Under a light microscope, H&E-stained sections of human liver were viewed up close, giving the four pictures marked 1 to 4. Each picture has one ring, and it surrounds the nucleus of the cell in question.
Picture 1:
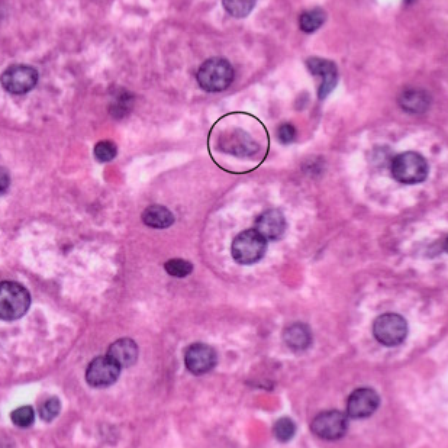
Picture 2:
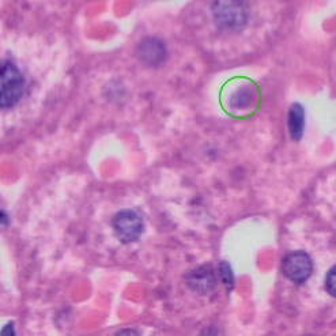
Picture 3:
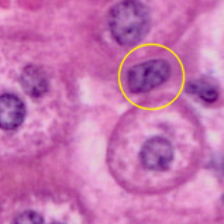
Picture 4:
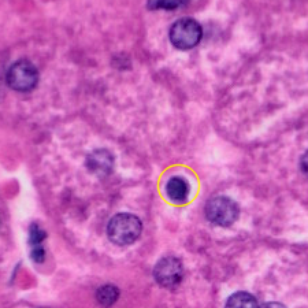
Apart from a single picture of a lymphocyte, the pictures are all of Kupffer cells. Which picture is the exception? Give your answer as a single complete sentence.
It is picture 4 that shows the lymphocyte.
